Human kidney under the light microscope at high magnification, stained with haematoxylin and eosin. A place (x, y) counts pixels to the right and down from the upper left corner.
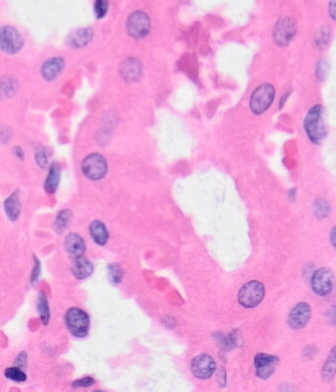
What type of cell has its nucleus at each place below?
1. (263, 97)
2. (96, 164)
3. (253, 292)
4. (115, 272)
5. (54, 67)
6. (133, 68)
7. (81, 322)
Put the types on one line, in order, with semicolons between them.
proximal tubule cell; proximal tubule cell; proximal tubule cell; loop of Henle or distal tubule cell; loop of Henle or distal tubule cell; proximal tubule cell; loop of Henle or distal tubule cell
